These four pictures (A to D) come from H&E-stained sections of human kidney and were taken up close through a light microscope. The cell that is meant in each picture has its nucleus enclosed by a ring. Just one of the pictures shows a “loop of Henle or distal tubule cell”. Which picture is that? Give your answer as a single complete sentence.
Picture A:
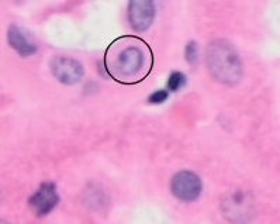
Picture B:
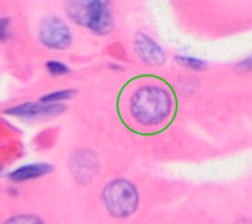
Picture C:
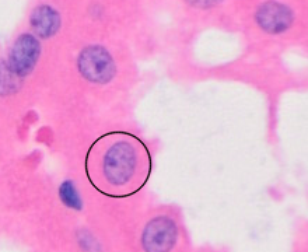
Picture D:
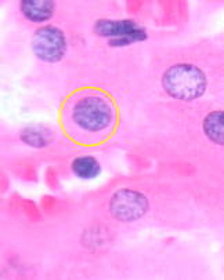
The cell in picture D is the “loop of Henle or distal tubule cell”.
